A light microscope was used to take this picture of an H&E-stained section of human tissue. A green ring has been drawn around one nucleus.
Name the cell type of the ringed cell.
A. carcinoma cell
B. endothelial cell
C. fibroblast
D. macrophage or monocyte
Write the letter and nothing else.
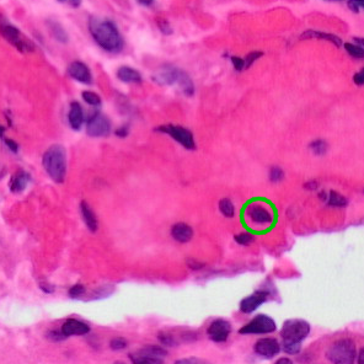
B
